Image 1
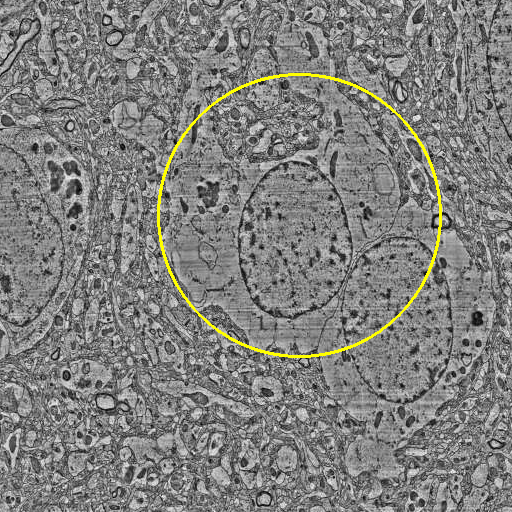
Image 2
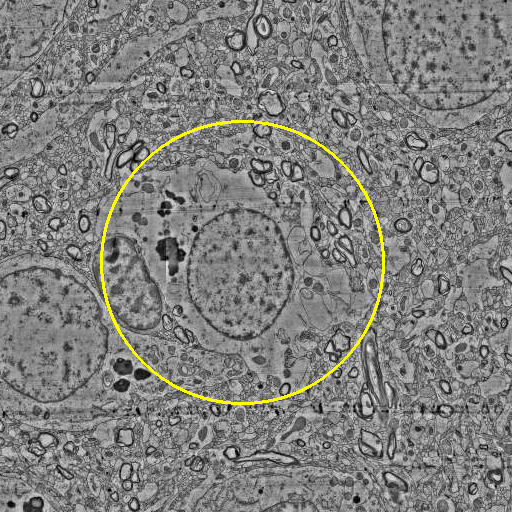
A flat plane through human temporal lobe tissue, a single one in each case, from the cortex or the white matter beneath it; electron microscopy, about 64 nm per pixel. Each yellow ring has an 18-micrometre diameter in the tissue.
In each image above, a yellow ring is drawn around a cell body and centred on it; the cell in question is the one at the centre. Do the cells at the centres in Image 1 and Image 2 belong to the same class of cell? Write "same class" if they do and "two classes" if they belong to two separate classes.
same class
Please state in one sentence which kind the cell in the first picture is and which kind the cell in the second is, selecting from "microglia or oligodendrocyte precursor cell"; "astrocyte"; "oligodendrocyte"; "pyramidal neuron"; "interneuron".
Each of the two rings surrounds an astrocyte.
